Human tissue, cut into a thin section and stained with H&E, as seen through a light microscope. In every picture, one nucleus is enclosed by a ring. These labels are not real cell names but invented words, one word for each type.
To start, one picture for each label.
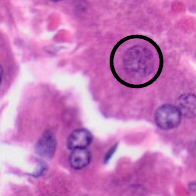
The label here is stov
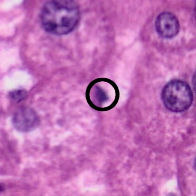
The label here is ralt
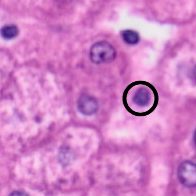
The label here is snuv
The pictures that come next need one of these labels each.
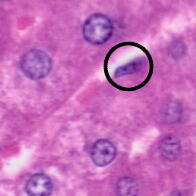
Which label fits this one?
ralt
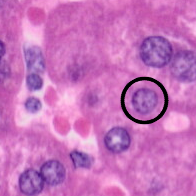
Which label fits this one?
stov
